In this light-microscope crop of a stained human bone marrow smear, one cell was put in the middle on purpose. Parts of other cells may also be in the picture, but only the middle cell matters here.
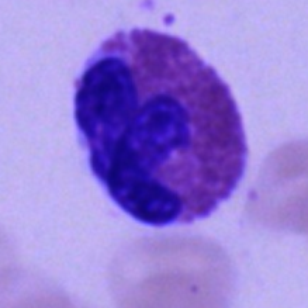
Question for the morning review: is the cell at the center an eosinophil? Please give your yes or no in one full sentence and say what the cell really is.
Yes, the cell at the heart of the crop is an eosinophil.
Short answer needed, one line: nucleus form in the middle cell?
Rather than a single mass, the nucleus forms two or more lobes.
